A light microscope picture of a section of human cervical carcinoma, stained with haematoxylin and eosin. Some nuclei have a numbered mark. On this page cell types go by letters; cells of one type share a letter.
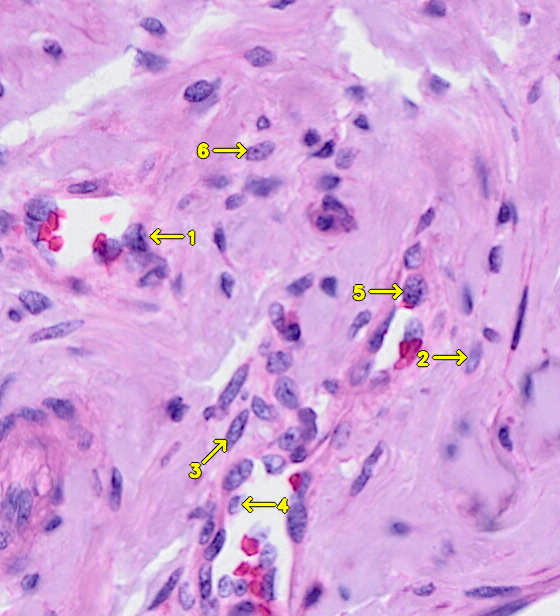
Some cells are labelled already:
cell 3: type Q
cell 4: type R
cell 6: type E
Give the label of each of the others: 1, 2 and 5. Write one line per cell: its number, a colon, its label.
1: type R
2: type E
5: type R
